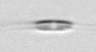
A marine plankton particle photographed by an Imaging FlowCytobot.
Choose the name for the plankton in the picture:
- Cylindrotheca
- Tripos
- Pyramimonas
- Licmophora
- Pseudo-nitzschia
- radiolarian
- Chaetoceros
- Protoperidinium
Cylindrotheca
